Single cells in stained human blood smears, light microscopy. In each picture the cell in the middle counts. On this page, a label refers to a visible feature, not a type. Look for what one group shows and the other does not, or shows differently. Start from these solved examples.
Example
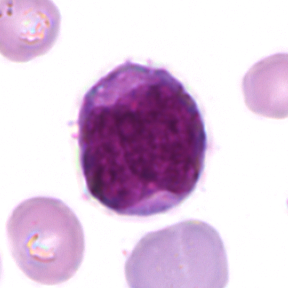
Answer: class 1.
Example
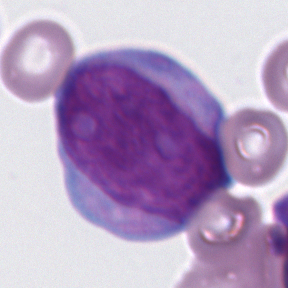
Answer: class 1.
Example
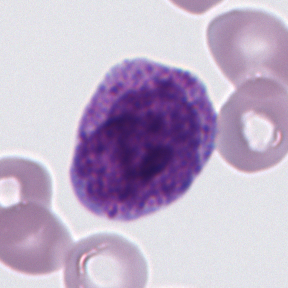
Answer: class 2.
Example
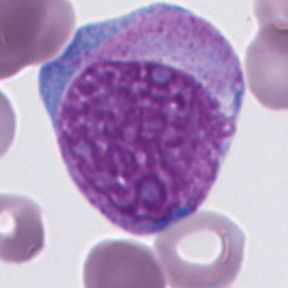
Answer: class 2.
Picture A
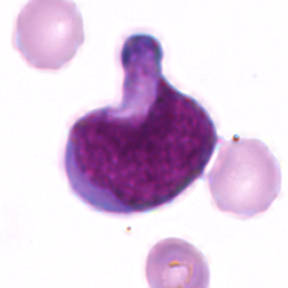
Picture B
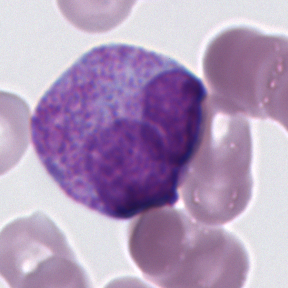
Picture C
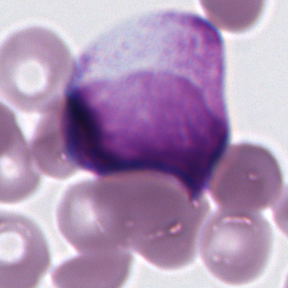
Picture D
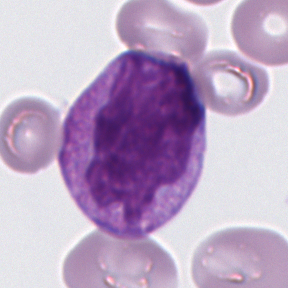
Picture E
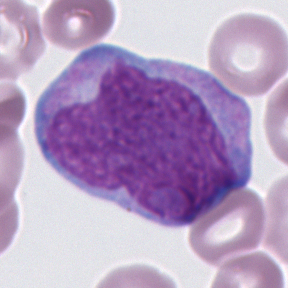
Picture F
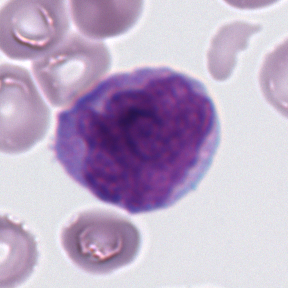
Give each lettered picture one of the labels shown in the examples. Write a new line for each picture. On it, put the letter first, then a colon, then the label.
A: class 1.
B: class 2.
C: class 2.
D: class 2.
E: class 1.
F: class 1.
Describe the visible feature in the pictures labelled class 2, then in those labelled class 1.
class 2, many visible granules; class 1, no visible granules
